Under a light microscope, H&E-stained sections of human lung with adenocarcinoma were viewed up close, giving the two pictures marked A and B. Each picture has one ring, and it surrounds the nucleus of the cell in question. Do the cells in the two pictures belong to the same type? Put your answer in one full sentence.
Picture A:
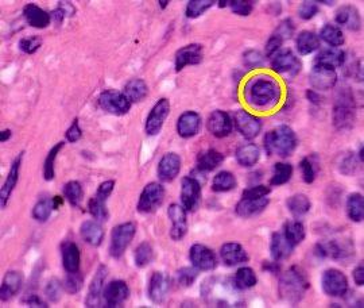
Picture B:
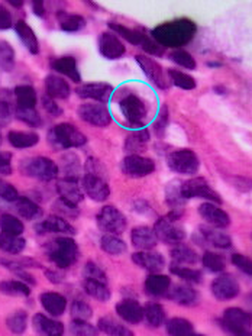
Yes, the two pictures both show lymphocytes.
